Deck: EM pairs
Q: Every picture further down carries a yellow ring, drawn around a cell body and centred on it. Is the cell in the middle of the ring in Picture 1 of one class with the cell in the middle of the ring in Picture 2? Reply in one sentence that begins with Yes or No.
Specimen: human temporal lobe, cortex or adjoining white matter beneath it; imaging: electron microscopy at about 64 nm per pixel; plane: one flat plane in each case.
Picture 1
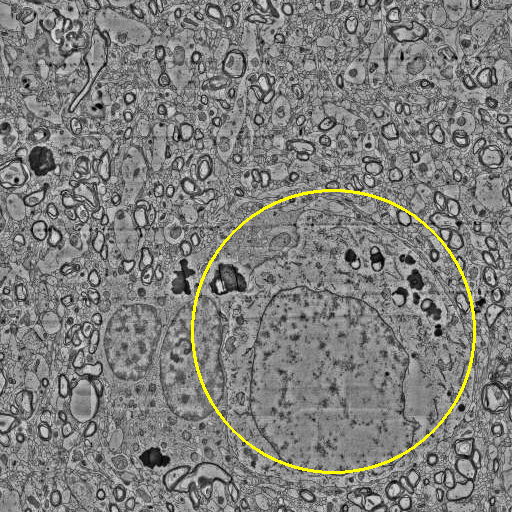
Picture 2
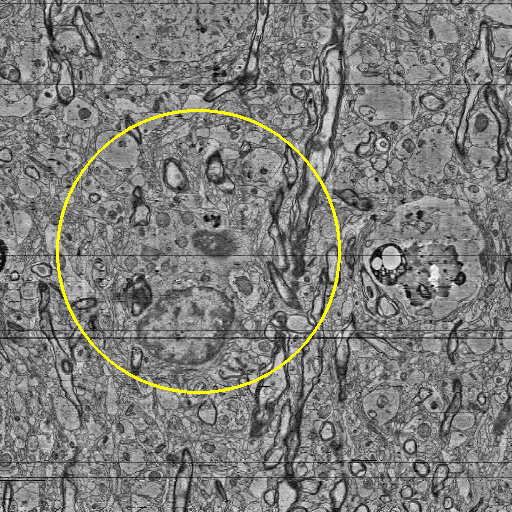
No, the cell centred in the ring of Picture 1 and the one in Picture 2 belong to separate classes.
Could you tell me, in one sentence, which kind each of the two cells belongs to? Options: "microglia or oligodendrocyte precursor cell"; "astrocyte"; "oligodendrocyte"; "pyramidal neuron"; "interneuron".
At the centre of the first ring sits a pyramidal neuron, and at the centre of the second sits an oligodendrocyte.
